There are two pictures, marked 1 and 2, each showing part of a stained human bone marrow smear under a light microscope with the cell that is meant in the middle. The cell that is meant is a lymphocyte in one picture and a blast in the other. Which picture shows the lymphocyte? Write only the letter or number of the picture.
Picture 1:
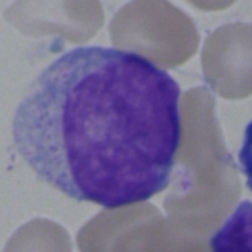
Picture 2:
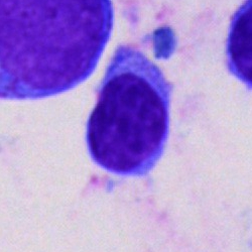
2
